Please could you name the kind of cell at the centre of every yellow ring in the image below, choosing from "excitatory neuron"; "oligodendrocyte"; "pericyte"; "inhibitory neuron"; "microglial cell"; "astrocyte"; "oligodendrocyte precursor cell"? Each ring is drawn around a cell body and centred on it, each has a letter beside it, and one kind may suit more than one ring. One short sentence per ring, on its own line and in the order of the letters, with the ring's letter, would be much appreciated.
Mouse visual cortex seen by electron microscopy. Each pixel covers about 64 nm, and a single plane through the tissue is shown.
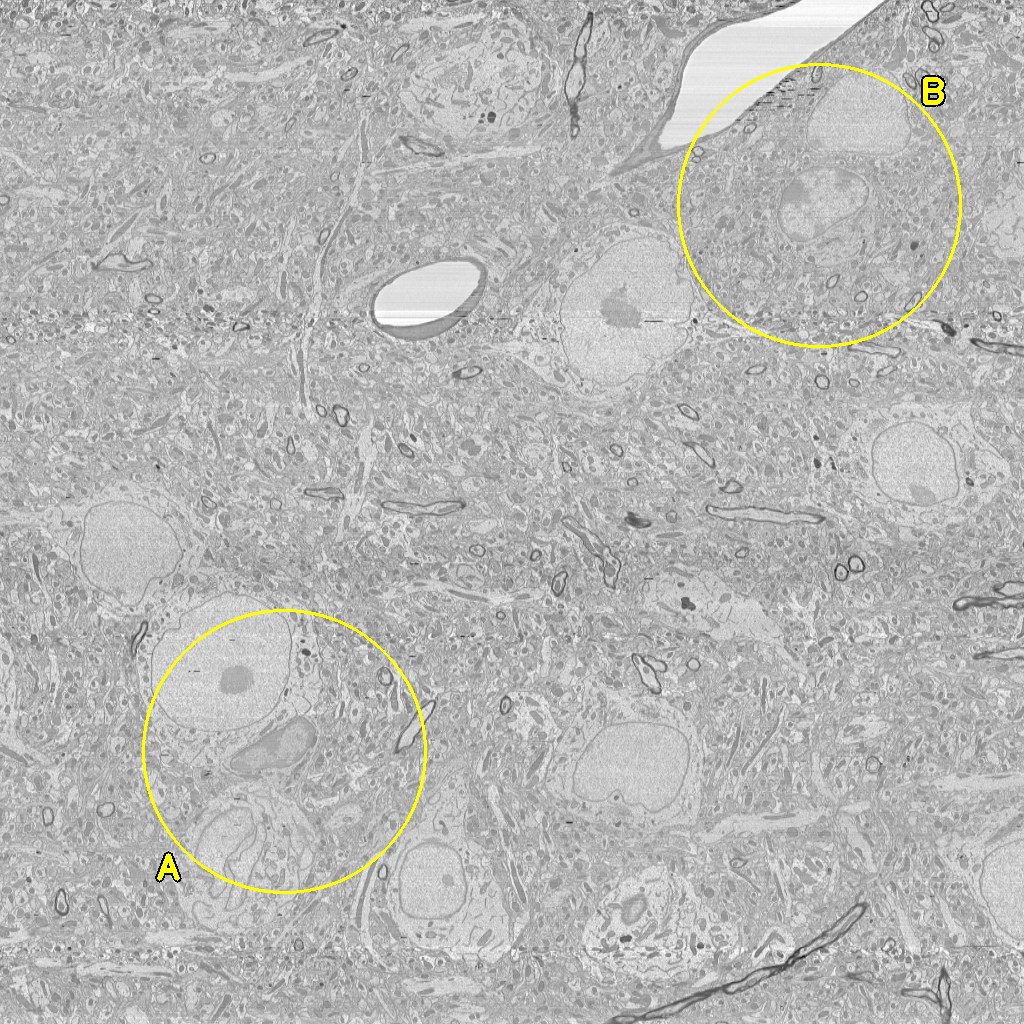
The cell in the middle of ring A is a microglial cell.
The cell in the middle of ring B is an oligodendrocyte.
